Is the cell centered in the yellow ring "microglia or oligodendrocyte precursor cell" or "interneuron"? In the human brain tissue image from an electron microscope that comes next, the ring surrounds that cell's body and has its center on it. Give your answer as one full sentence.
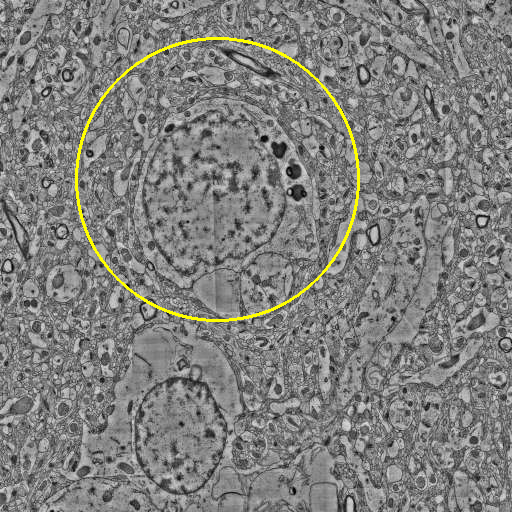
The cell at the center of the yellow ring is an interneuron in the micrograph.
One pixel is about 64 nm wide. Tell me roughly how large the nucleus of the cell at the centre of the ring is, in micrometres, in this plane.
The nucleus comes to roughly 11 by 9 micrometres in this plane.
